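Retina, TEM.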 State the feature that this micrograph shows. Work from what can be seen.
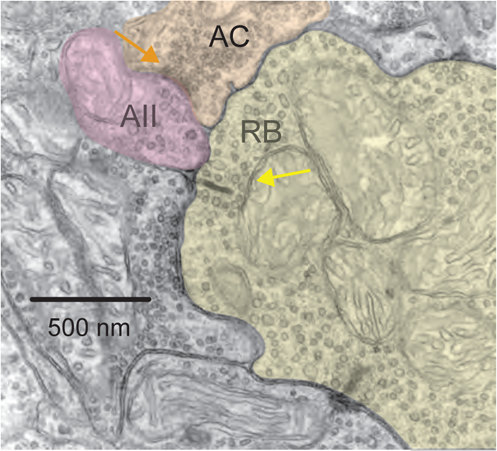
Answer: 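Dyad synapse. A large vesicle-filled terminal abuts smaller profiles at a site marked by a dark presynaptic density. The pink-tinted profile directly faces the dark density of the large terminal.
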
